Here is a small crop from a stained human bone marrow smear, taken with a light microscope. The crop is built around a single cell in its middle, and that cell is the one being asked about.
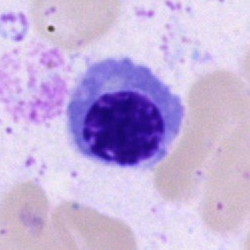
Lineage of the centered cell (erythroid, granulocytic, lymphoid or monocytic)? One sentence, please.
Under the erythroid lineage falls the cell in the middle of the crop.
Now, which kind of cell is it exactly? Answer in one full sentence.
The cell centered in this field of view is an erythroblast.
